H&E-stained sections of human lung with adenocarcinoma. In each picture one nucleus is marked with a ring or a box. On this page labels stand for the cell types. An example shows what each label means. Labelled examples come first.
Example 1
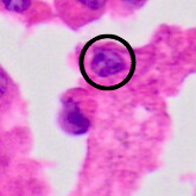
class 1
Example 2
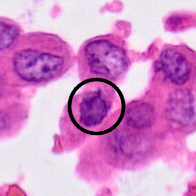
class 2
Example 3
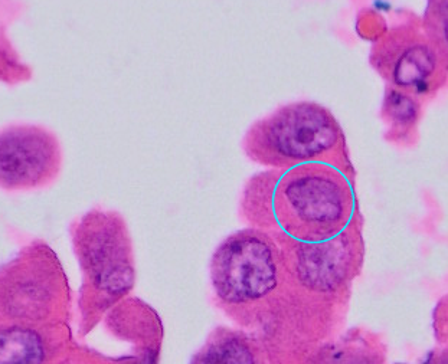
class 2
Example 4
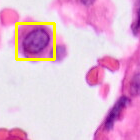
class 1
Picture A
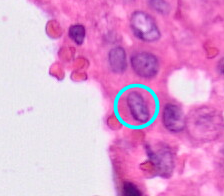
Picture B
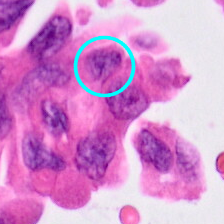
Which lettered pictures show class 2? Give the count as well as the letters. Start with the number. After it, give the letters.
1, namely B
